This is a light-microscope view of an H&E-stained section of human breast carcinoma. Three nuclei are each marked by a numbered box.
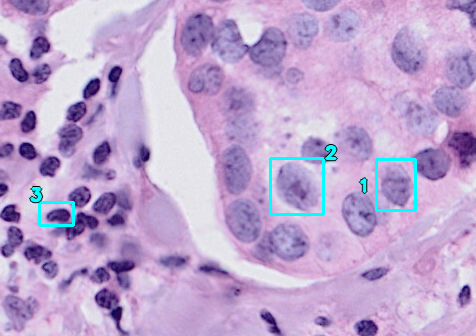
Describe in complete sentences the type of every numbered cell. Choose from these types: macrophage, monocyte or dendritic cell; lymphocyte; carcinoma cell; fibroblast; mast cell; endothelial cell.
Cells 1 and 2 are carcinoma cells. Cell 3 is a lymphocyte.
